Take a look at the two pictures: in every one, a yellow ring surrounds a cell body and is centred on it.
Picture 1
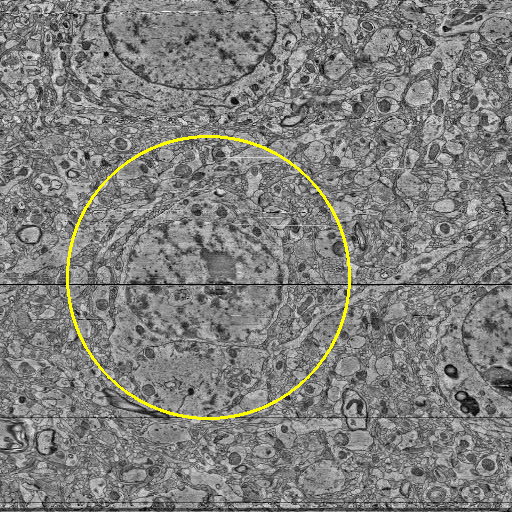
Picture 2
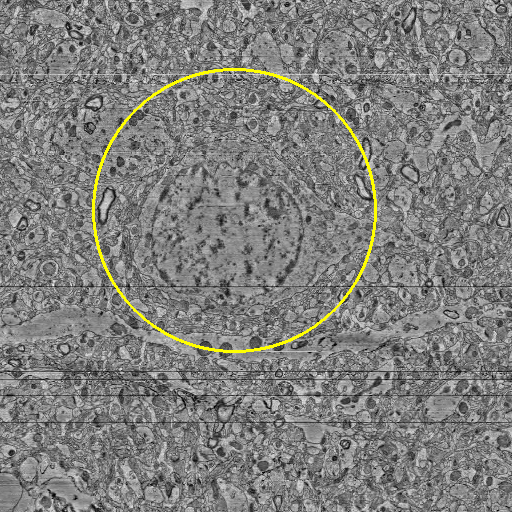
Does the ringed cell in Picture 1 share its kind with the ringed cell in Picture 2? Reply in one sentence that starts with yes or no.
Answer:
Yes, the two centred cells, one per picture, are of one kind.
